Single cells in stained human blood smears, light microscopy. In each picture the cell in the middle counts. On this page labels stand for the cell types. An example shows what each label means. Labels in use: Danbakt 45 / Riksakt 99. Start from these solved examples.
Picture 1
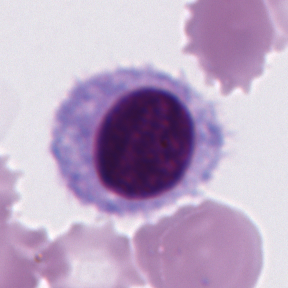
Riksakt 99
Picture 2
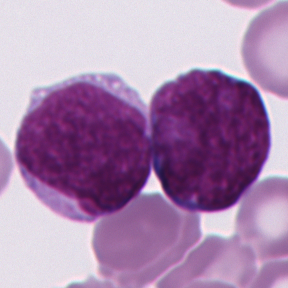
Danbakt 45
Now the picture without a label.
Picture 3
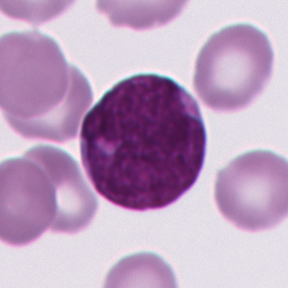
Danbakt 45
